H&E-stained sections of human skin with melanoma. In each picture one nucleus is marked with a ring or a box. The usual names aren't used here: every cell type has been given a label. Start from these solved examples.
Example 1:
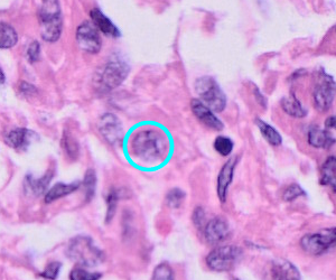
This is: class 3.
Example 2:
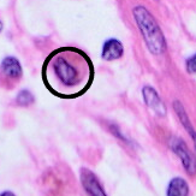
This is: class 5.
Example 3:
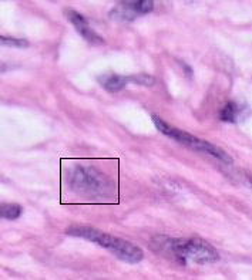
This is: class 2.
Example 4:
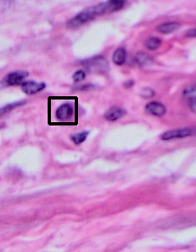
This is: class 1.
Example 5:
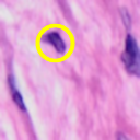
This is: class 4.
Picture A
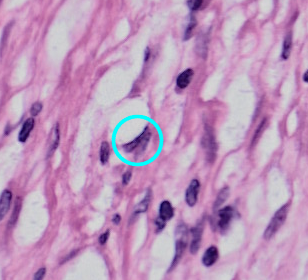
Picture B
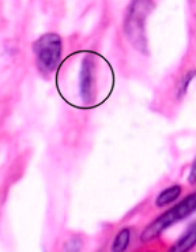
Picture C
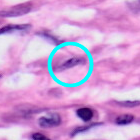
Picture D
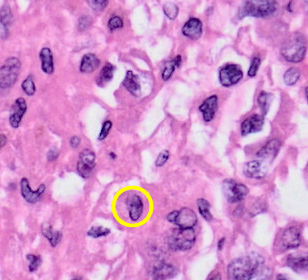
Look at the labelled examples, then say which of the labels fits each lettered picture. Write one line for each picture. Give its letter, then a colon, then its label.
A: class 2.
B: class 2.
C: class 2.
D: class 5.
